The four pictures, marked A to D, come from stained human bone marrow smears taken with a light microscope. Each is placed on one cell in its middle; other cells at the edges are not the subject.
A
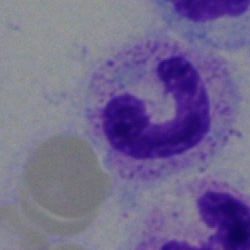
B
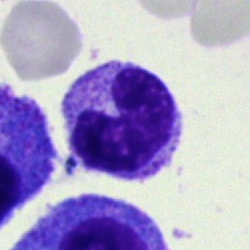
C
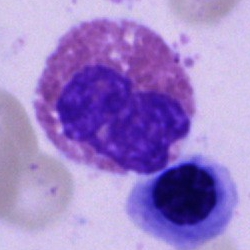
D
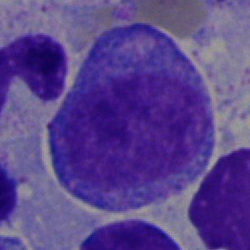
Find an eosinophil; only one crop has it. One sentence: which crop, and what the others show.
Crop C has an eosinophil as its central cell, while crop A is a segmented neutrophil, crop B is a band neutrophil and crop D is a promyelocyte.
